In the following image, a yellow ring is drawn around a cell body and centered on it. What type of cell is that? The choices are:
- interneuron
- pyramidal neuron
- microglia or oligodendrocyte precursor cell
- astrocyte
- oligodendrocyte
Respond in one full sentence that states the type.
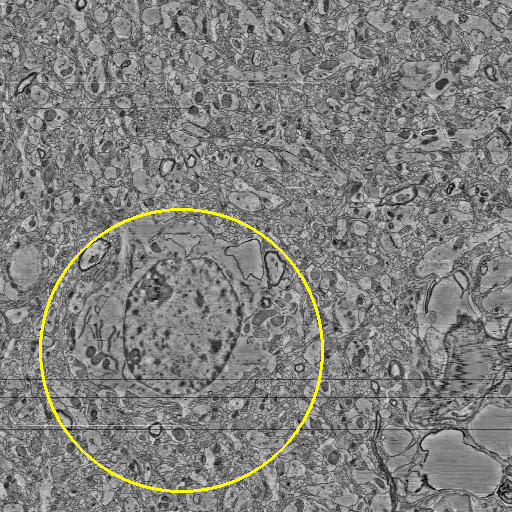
The cell at the center of the yellow ring in the image is an astrocyte.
